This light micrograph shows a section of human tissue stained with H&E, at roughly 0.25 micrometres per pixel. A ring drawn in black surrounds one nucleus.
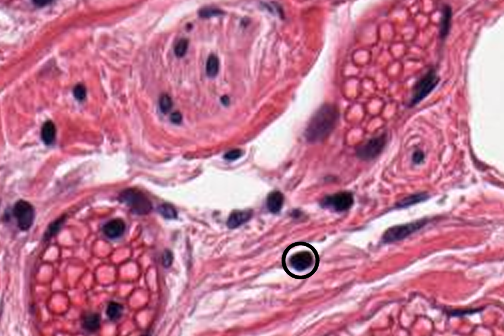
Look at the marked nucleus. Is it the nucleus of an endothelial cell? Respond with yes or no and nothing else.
no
